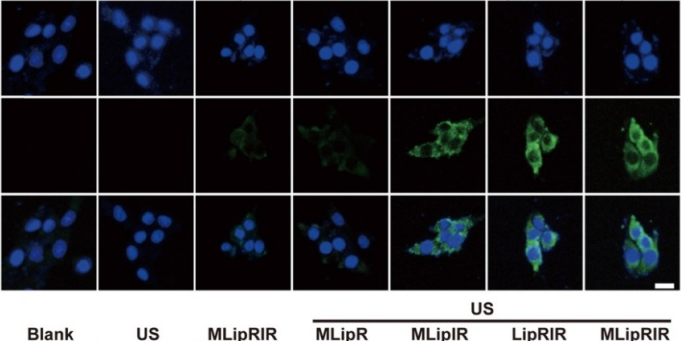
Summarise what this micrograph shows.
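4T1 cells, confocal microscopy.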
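These are small groups of cultured tumour cells with oval blue-stained nuclei, shown as a grid of matching blue, green and merged images. In the leftmost columns there is almost no green. Further to the right a green label appears in the cytoplasm and at the cell borders around the nuclei, and it grows brighter. In the rightmost columns the green outlines whole cells.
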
